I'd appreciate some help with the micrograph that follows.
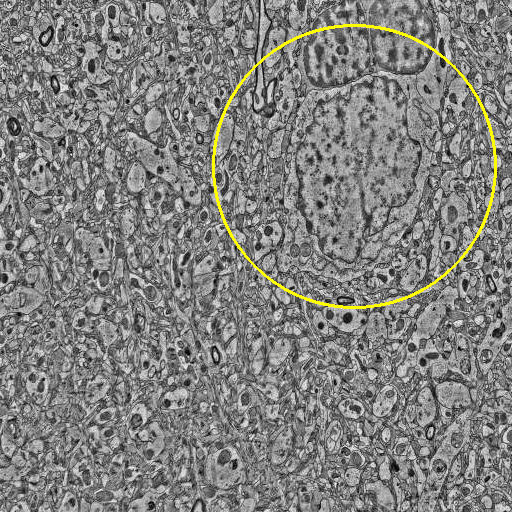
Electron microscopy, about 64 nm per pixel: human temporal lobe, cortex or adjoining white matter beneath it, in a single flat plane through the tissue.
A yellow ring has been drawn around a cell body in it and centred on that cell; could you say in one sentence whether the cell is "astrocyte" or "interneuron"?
It is an interneuron at the centre of the ring.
